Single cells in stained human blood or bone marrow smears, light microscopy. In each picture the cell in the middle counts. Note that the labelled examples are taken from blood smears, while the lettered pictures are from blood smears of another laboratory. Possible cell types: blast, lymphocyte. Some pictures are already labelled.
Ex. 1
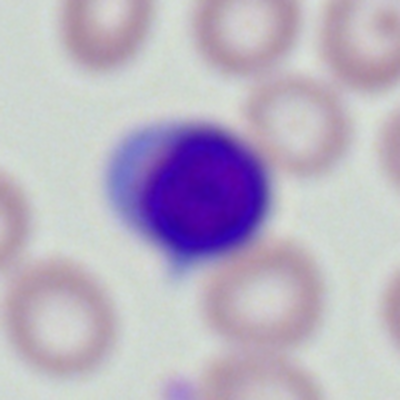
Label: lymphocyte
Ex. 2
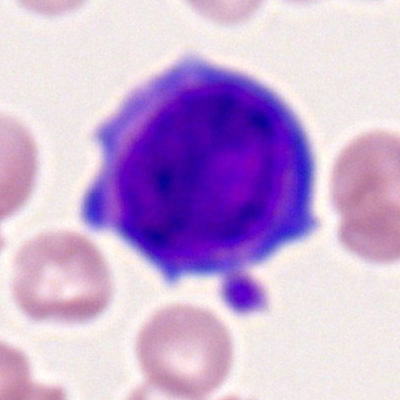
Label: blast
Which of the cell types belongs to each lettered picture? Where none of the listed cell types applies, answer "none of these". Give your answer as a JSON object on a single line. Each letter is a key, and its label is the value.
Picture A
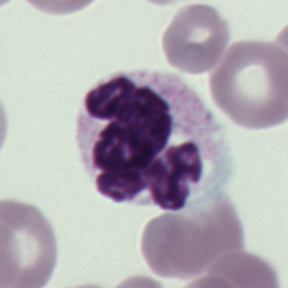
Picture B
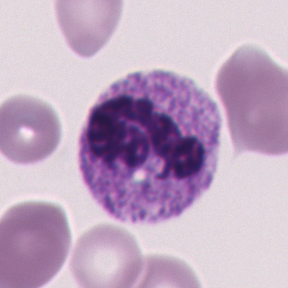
{"A": "none of these", "B": "none of these"}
